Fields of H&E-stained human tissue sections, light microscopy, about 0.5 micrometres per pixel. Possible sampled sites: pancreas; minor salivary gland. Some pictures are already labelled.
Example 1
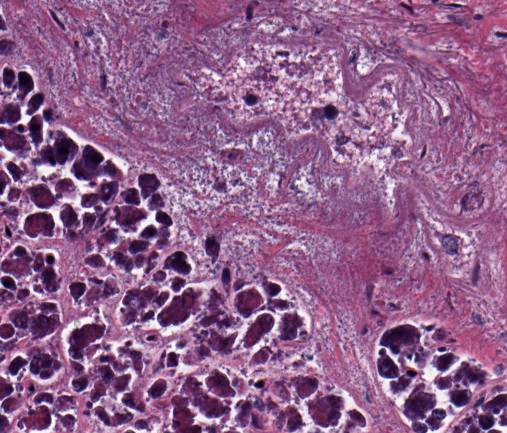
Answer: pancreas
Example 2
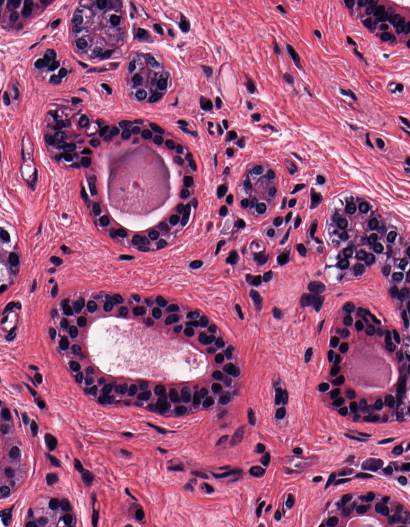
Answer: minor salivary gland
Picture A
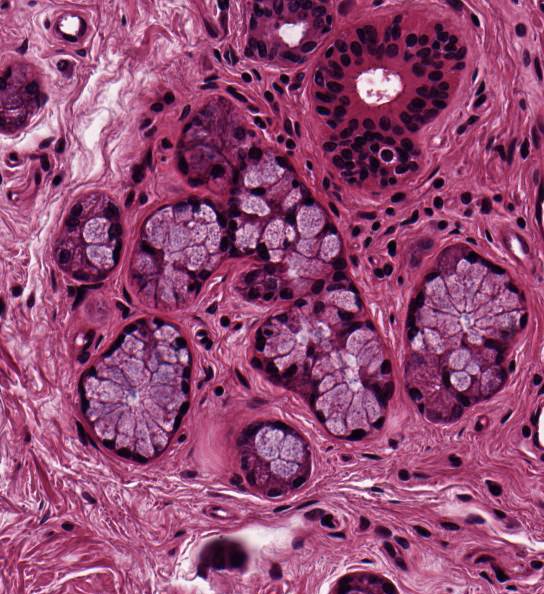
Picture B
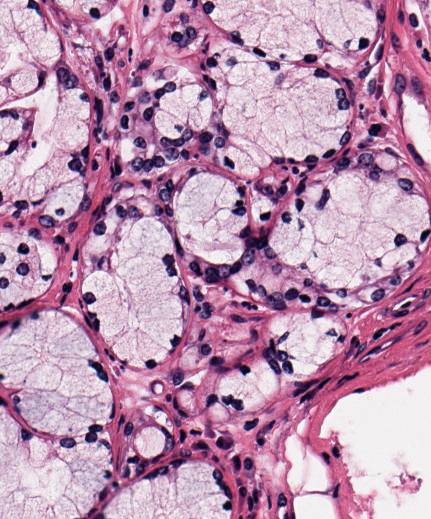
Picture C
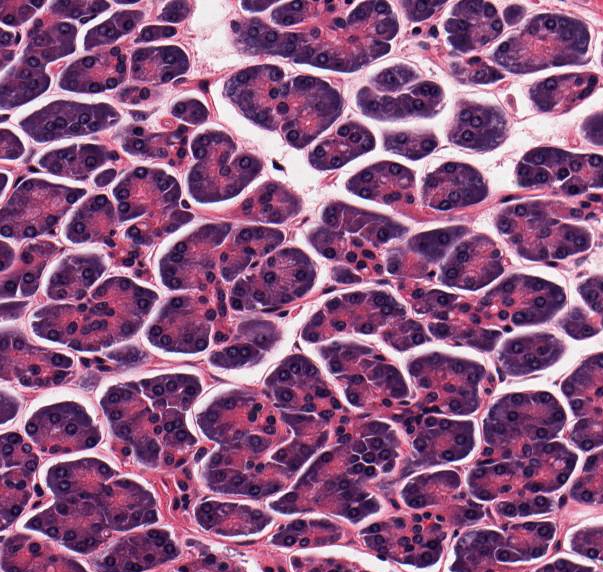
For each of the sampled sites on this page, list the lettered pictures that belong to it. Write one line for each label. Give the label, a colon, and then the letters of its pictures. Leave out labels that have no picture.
pancreas: C
minor salivary gland: A, B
